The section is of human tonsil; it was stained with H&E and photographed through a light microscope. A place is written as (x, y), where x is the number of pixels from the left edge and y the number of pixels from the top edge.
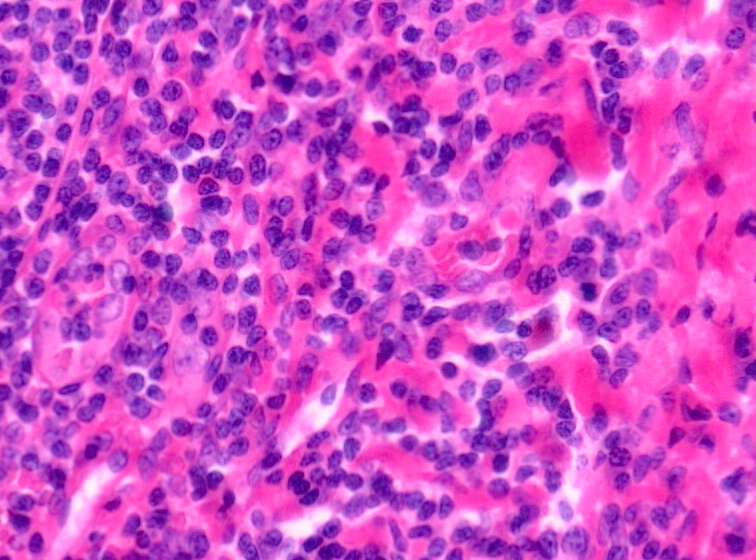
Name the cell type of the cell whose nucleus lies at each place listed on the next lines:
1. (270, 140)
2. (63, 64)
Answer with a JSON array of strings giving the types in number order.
["plasma cell", "small lymphocyte"]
